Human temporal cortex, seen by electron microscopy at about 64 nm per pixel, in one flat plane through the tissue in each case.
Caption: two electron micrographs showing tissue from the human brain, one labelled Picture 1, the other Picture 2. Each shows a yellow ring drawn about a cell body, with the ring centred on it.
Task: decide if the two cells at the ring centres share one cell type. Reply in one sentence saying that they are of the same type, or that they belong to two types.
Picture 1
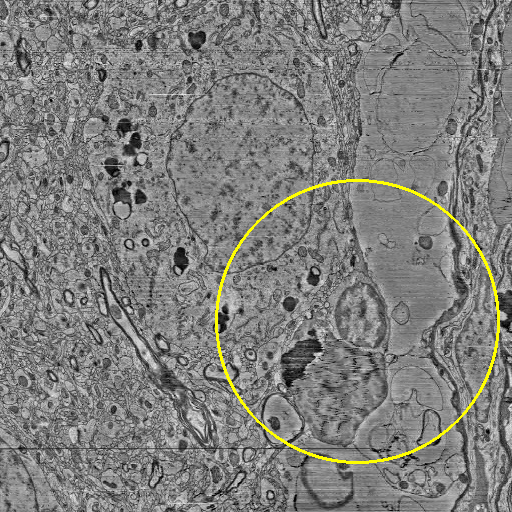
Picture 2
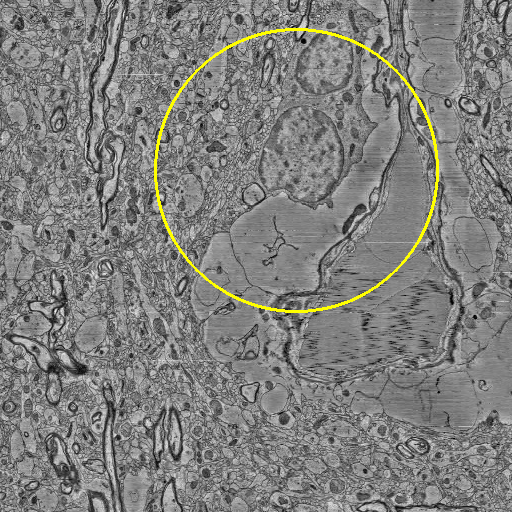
The cells at the ring centres in Picture 1 and Picture 2 are of the same type.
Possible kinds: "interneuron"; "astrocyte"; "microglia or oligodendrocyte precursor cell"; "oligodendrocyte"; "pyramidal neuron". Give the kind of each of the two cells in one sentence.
The ring centre holds an oligodendrocyte in each of the two pictures.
